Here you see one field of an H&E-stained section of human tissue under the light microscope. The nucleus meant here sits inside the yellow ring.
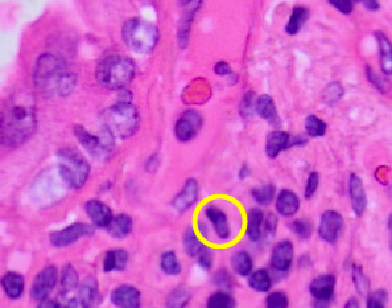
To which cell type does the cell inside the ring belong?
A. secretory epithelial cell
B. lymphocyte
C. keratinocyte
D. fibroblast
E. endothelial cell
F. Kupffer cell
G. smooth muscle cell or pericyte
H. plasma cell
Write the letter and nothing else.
B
